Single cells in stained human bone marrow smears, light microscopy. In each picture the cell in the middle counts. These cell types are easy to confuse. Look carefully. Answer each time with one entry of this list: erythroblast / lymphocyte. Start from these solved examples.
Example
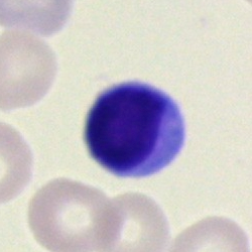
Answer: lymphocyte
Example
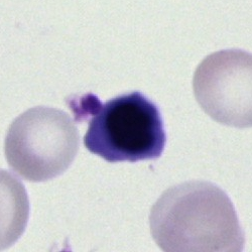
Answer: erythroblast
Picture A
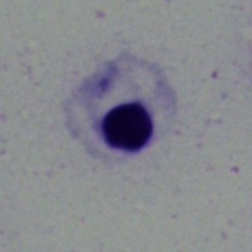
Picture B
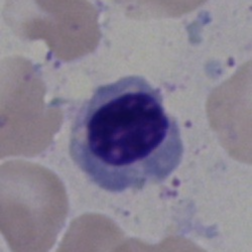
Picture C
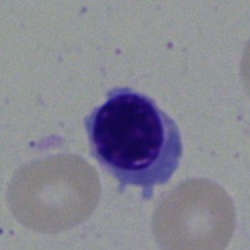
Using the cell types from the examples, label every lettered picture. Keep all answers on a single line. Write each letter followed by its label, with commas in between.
A erythroblast, B erythroblast, C erythroblast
